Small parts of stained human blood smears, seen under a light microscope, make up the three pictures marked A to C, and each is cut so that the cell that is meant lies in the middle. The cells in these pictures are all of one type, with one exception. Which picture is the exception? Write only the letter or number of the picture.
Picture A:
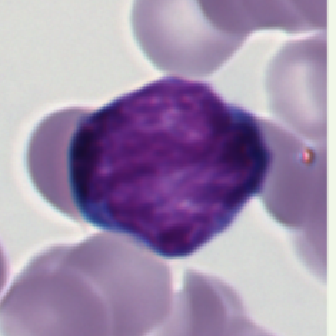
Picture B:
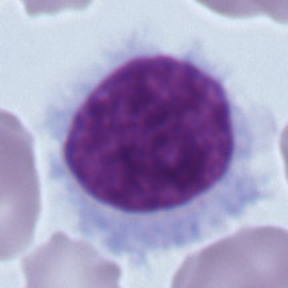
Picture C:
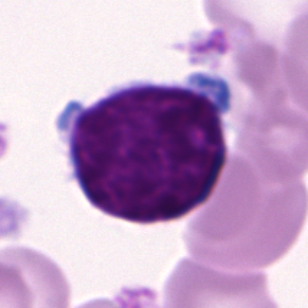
B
